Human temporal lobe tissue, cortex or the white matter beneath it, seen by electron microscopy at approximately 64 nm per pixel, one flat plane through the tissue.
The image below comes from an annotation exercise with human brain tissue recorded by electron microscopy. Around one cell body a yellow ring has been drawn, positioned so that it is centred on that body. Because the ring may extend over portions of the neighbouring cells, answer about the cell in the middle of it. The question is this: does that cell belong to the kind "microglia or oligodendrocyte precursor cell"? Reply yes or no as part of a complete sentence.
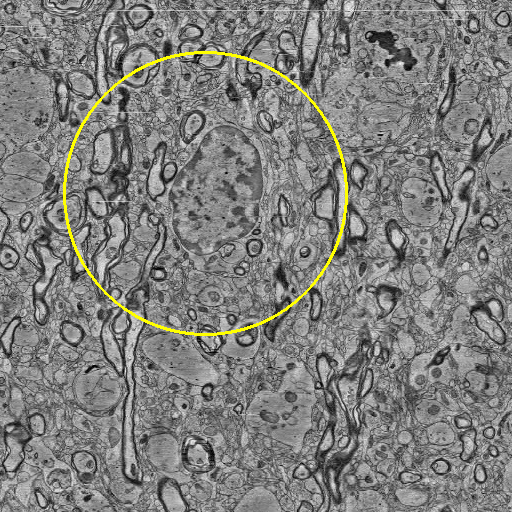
Yes, in the image the cell in the middle of the ring is of the kind asked about.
